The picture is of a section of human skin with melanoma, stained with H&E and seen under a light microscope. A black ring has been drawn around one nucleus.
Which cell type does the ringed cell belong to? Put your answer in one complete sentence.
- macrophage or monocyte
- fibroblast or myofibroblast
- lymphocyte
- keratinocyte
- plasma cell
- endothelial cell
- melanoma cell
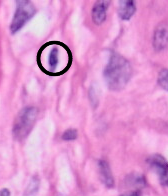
Within this tissue, the ringed cell is a lymphocyte.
